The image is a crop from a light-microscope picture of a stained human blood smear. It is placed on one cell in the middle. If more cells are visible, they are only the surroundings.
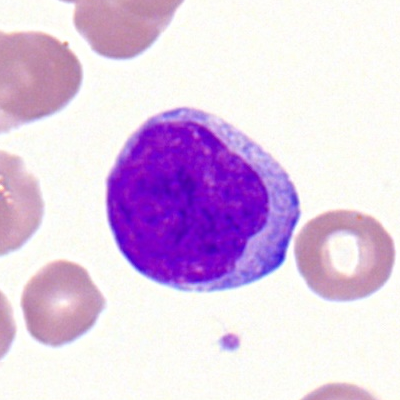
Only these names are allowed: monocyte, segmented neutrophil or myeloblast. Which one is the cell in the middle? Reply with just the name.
myeloblast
